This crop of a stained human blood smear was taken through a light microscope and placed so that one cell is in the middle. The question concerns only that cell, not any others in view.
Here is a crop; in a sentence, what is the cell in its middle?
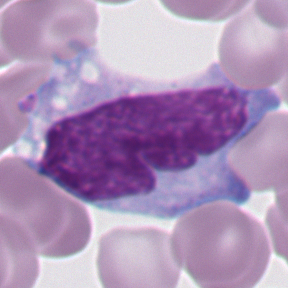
In this smear crop, the middle cell is a monocyte.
